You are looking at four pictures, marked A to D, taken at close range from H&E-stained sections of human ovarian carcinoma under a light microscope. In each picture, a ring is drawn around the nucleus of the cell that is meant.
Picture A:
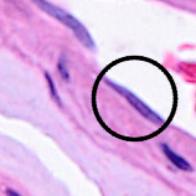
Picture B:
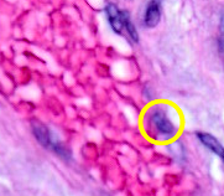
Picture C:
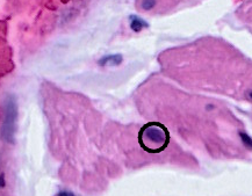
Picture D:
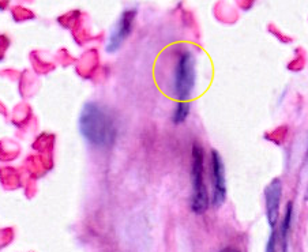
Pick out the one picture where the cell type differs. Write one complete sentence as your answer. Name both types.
Unlike the rest, which show endothelial cells, picture C shows a smooth muscle cell.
